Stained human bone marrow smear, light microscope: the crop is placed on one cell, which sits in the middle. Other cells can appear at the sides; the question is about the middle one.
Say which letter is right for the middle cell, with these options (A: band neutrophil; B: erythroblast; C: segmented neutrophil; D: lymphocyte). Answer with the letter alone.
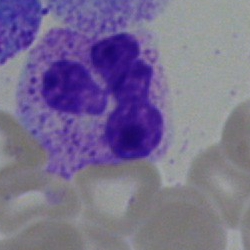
C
